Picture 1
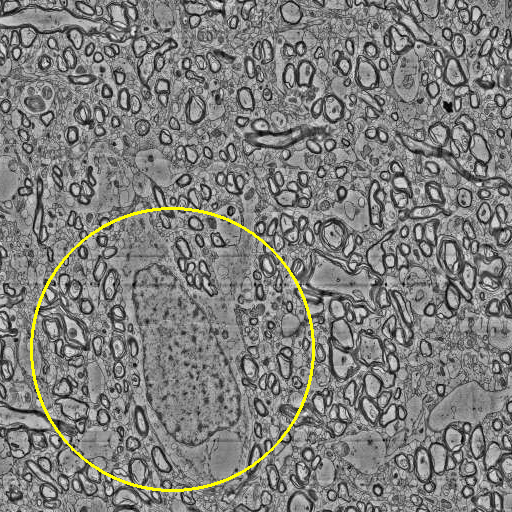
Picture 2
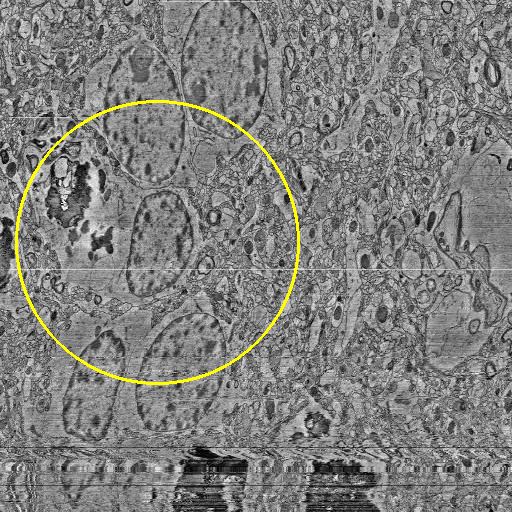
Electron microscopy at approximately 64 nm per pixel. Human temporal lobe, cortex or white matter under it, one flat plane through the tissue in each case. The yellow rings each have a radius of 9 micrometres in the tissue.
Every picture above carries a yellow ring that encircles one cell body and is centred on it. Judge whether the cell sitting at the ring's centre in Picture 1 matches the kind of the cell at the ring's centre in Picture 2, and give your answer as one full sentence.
Yes, the cells centred in the rings of Pictures 1 and 2 belong to one kind.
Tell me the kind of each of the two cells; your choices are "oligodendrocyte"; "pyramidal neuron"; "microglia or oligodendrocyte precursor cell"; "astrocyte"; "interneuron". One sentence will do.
Each cell, in the first picture and the second, is an astrocyte.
